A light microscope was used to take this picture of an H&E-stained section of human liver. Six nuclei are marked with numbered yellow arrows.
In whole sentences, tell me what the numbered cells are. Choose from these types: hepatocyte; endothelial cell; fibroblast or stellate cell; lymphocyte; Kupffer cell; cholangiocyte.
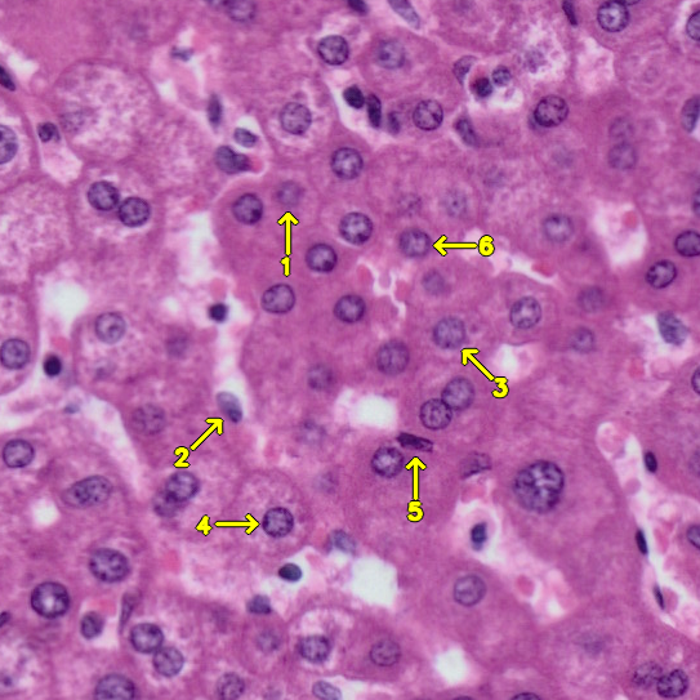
Cells 1, 3, 4 and 6 are hepatocytes. Cell 2 is an endothelial cell. Cell 5 is a fibroblast or stellate cell.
